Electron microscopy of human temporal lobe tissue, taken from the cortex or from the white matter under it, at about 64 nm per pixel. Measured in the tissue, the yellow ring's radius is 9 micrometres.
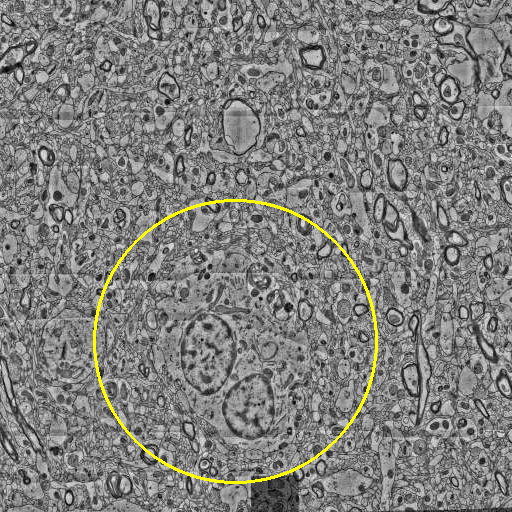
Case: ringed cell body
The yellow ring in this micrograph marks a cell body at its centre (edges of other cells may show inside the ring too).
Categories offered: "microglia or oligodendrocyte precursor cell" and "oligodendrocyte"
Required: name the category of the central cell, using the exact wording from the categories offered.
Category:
microglia or oligodendrocyte precursor cell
